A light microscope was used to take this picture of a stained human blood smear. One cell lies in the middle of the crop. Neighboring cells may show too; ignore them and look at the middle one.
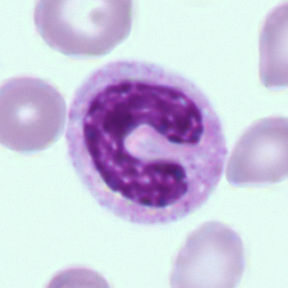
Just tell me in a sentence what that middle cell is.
The middle of this crop is occupied by a band neutrophil.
